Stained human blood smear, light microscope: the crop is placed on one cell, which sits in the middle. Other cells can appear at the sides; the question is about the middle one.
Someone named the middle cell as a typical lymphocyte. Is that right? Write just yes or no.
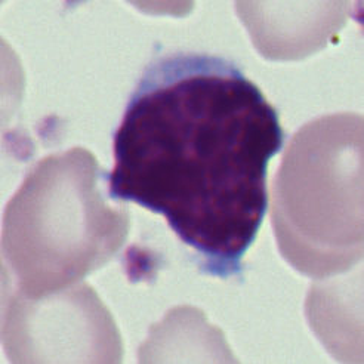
yes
